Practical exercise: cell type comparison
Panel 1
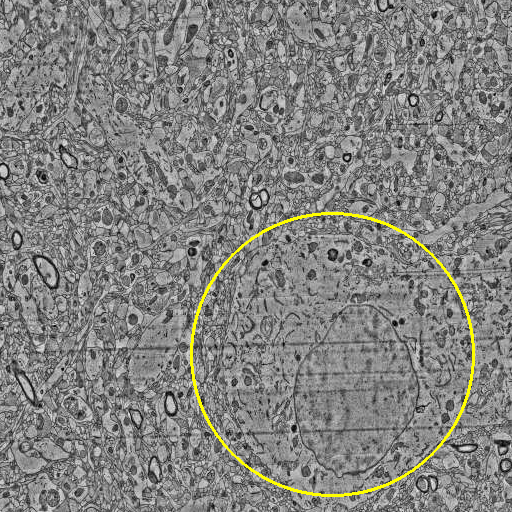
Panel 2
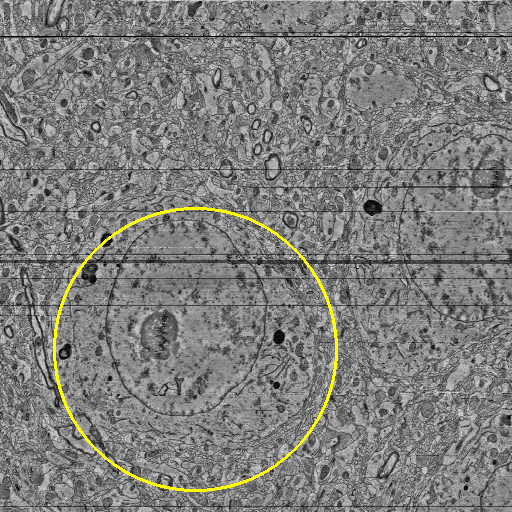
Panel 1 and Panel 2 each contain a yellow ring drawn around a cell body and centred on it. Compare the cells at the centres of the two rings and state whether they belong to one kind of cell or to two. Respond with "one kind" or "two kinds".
one kind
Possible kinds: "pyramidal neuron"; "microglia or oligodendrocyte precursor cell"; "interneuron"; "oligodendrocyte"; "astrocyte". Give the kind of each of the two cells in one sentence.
Each of the two rings is centred on a pyramidal neuron.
